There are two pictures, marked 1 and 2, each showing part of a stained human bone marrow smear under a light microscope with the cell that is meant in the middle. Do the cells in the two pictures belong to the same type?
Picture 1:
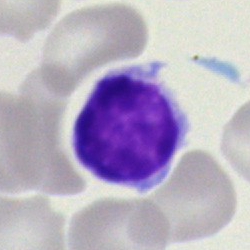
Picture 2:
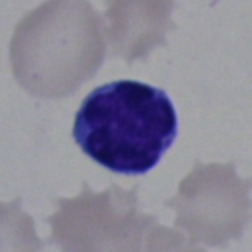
yes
